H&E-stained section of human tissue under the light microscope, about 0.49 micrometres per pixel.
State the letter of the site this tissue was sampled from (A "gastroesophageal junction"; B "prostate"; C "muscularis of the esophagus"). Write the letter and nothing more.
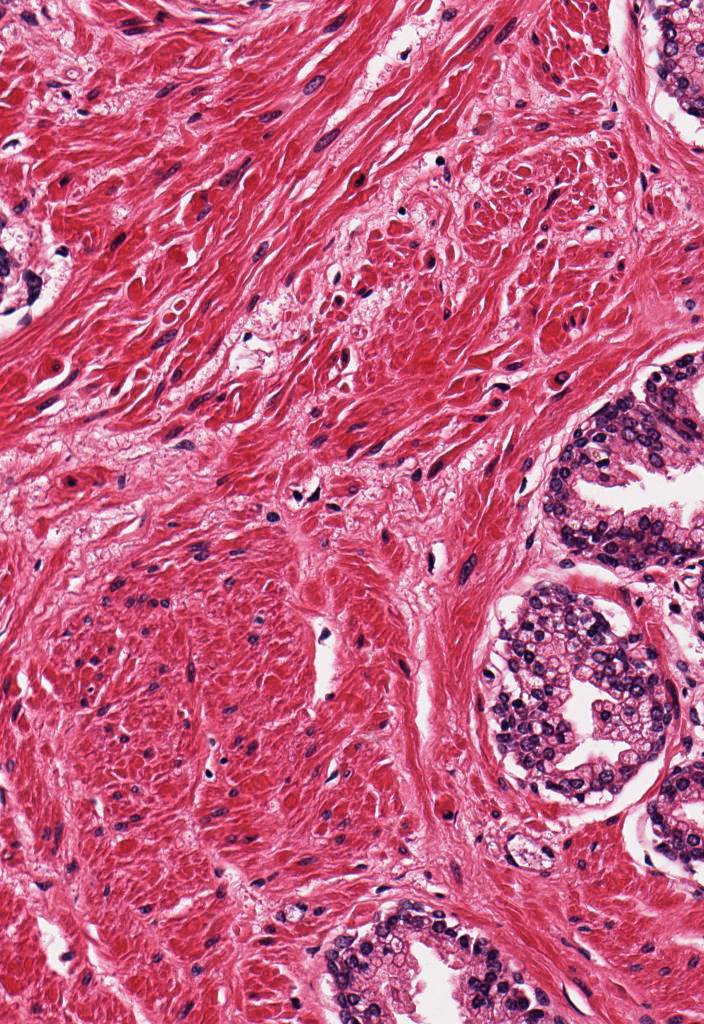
B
